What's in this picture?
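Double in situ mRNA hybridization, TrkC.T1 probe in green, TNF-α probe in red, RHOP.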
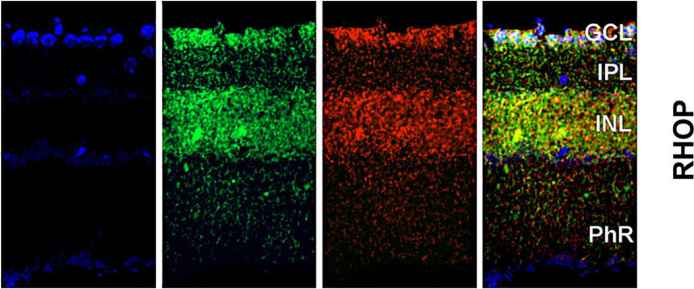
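A vertical section of retina is shown as four side-by-side images of the same field: blue nuclei, green labelling, red labelling and their merge. Large blue nuclei sit in a row along the top edge in the ganglion cell layer, and a band of nuclei lies further down near the inner nuclear layer. Green and red granular labelling is strongest in the ganglion cell layer and in a broad band of the inner nuclear layer, weaker in the inner plexiform layer between them. In the merge the overlapping labels appear yellow, and scattered puncta also extend down into the photoreceptor layer.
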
